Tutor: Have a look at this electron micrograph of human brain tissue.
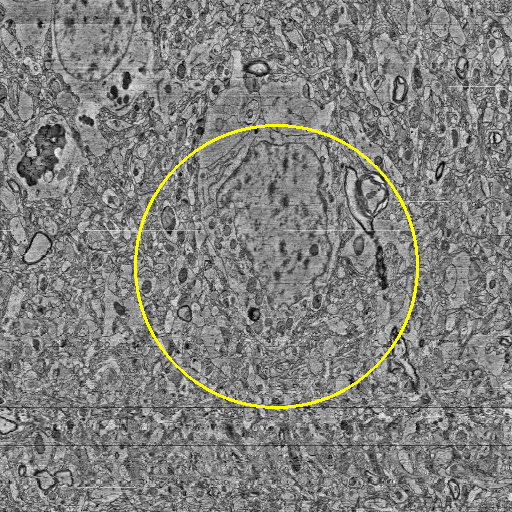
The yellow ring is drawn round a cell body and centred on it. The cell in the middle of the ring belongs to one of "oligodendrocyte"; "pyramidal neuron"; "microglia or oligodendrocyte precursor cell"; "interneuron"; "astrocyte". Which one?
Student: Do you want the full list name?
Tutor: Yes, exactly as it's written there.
interneuron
